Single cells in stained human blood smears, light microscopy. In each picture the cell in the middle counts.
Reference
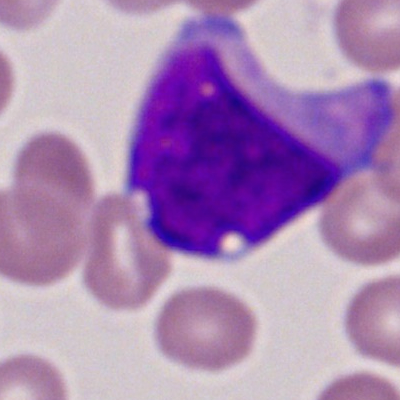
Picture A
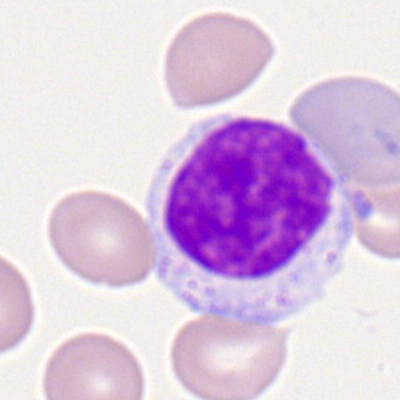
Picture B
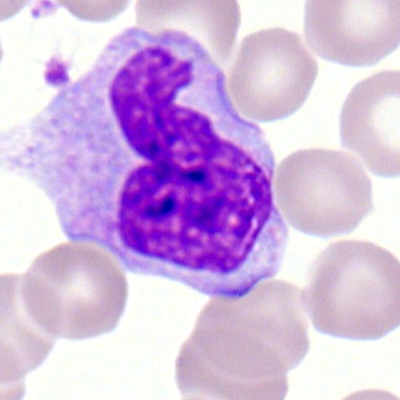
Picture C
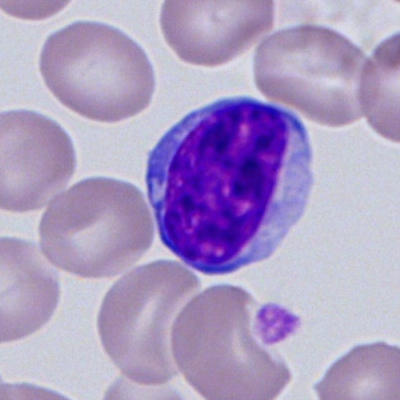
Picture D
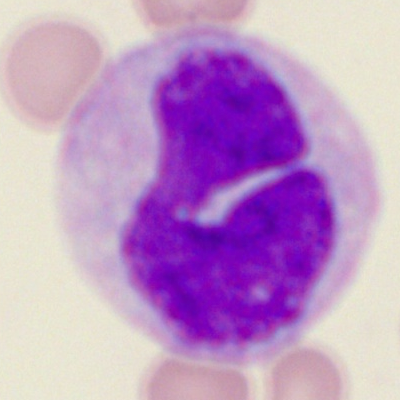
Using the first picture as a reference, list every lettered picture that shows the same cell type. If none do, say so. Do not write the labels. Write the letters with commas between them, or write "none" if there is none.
none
